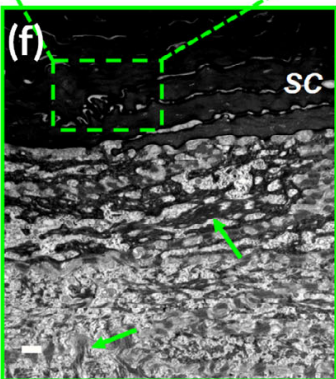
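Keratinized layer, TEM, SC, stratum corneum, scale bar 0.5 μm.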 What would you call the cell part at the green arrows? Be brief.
Keratin filament bundles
